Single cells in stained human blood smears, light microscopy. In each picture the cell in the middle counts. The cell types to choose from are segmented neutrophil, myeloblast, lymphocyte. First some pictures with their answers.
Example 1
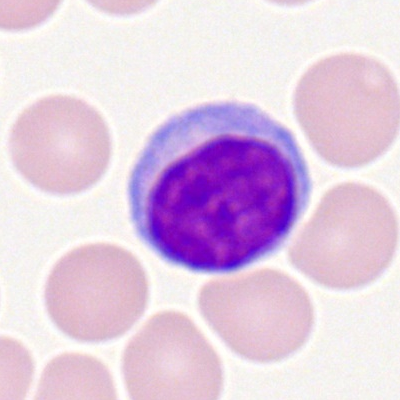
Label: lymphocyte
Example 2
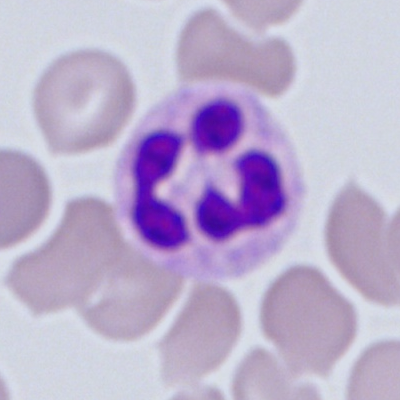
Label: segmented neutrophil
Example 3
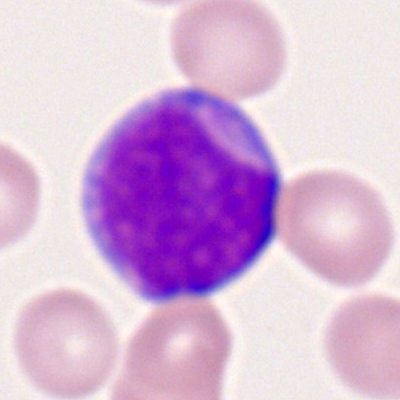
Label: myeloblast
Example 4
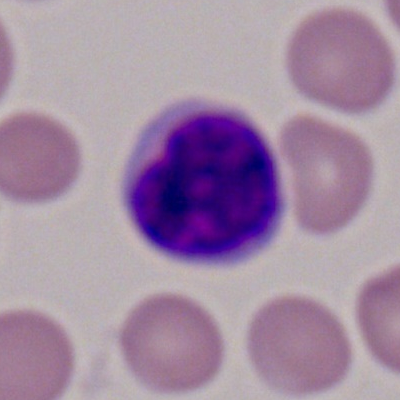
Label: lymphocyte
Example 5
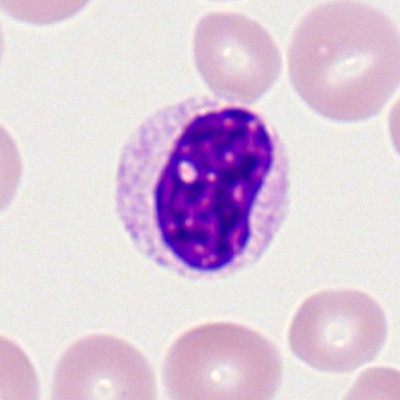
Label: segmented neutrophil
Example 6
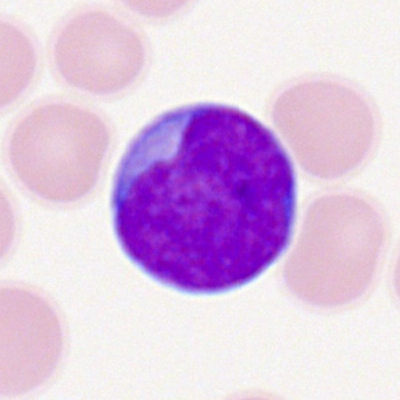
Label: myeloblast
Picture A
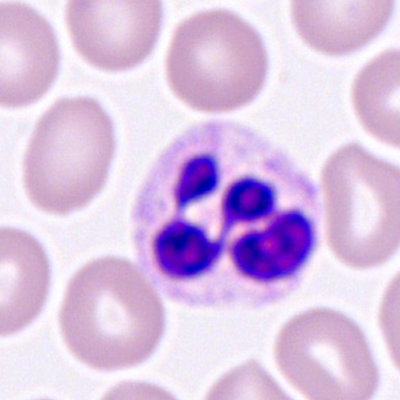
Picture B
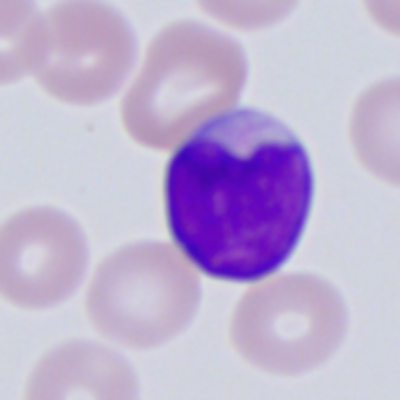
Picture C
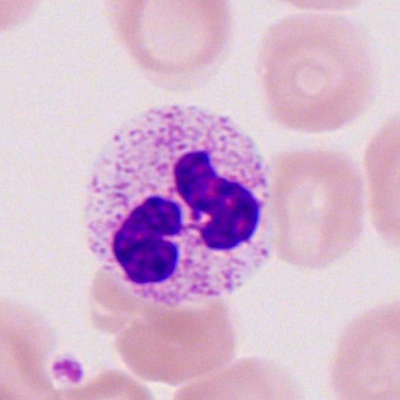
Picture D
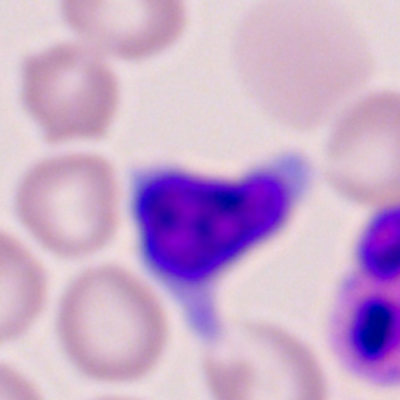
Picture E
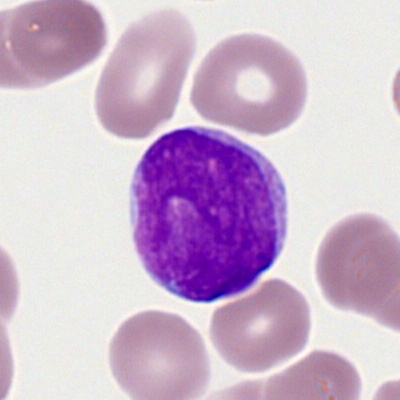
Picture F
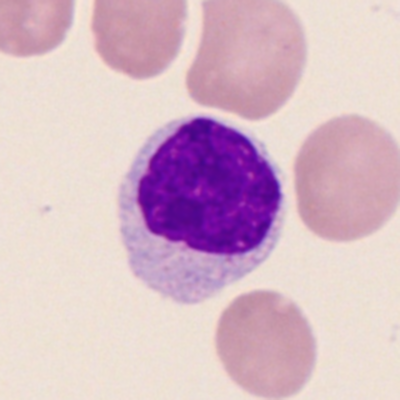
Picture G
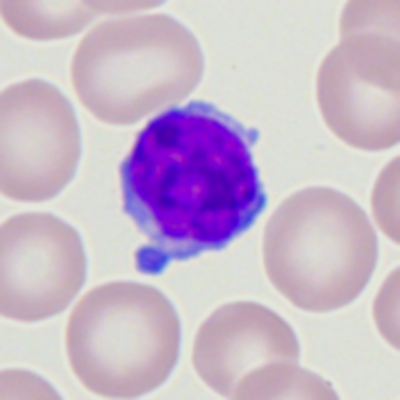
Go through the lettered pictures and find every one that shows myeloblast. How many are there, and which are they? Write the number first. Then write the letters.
2, namely B, E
